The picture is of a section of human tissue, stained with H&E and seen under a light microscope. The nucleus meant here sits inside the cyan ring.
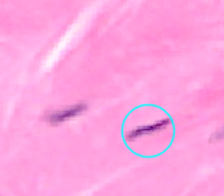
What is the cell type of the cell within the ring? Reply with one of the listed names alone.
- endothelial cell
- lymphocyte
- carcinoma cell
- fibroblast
fibroblast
